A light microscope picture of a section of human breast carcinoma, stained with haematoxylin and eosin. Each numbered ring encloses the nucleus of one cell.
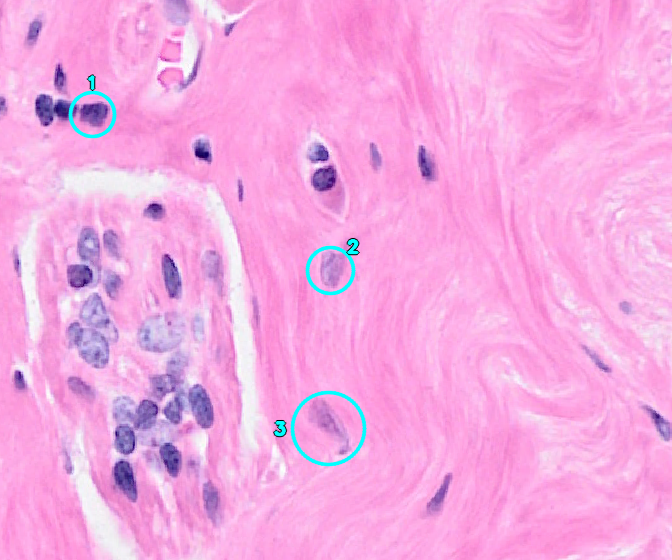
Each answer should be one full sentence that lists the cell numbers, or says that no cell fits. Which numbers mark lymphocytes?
The nucleus labelled 1 alone belongs to a lymphocyte; the other marked nuclei do not.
